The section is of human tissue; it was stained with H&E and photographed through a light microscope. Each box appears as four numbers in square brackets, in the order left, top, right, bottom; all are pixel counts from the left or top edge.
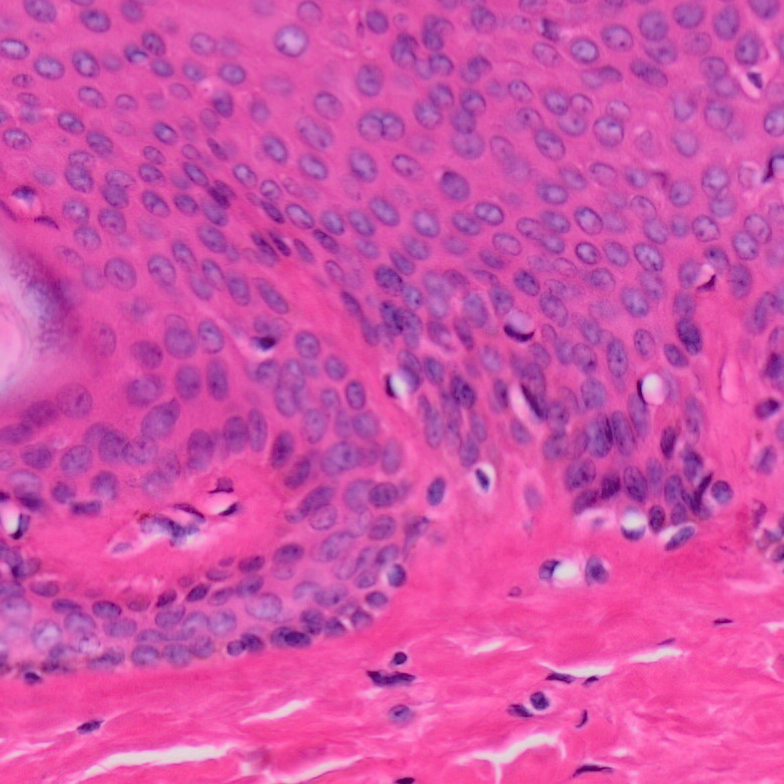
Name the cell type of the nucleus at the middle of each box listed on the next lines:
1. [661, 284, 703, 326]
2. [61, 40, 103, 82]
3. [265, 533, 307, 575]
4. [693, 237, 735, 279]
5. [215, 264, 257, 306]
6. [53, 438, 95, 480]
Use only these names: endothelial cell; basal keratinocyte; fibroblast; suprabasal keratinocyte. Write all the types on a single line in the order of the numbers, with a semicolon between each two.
basal keratinocyte; suprabasal keratinocyte; basal keratinocyte; basal keratinocyte; suprabasal keratinocyte; suprabasal keratinocyte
